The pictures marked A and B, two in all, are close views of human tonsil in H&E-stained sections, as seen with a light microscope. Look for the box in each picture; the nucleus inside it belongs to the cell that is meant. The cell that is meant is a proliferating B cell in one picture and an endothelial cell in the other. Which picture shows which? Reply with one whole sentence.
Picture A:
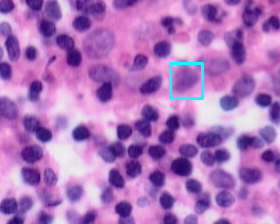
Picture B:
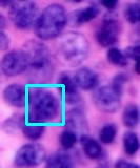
Picture A shows an endothelial cell and picture B shows a proliferating B cell.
